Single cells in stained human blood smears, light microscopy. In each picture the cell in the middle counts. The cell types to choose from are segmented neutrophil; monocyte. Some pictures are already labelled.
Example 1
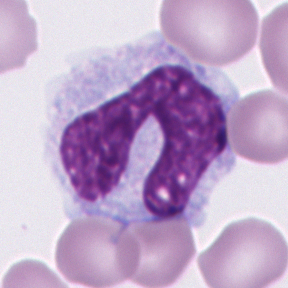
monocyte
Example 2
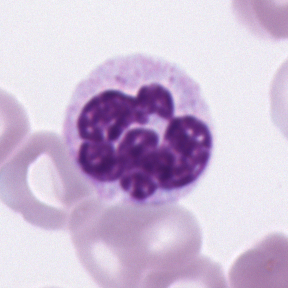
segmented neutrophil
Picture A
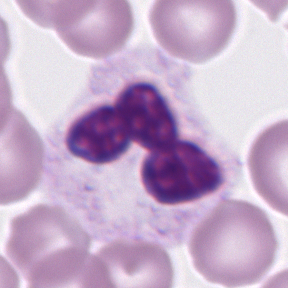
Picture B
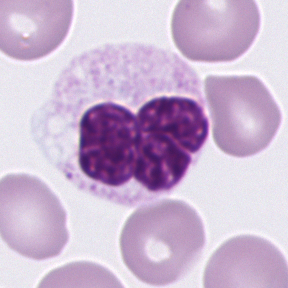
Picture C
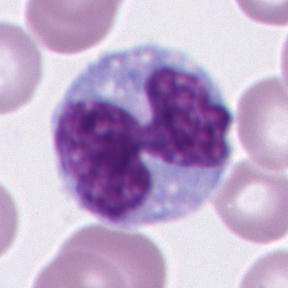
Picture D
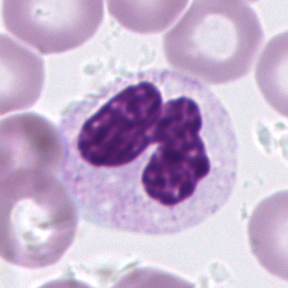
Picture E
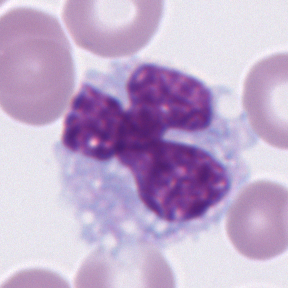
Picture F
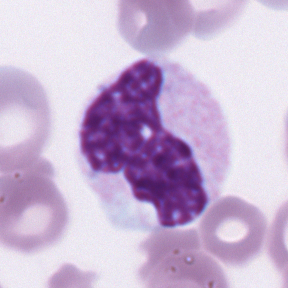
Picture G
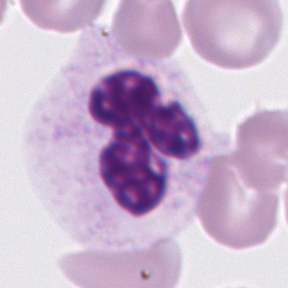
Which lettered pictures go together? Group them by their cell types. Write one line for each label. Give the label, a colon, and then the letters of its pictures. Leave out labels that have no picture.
segmented neutrophil: A, B, D, F, G
monocyte: C, E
